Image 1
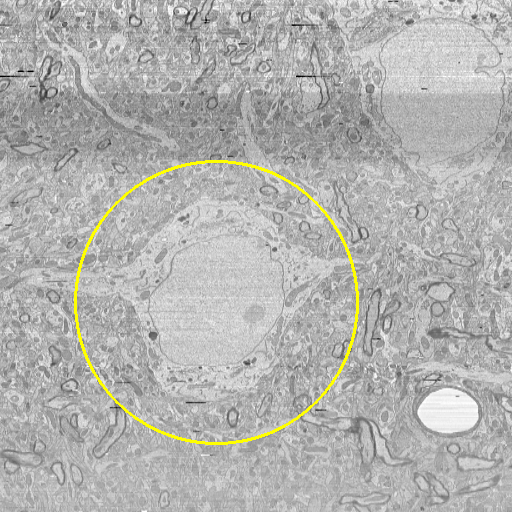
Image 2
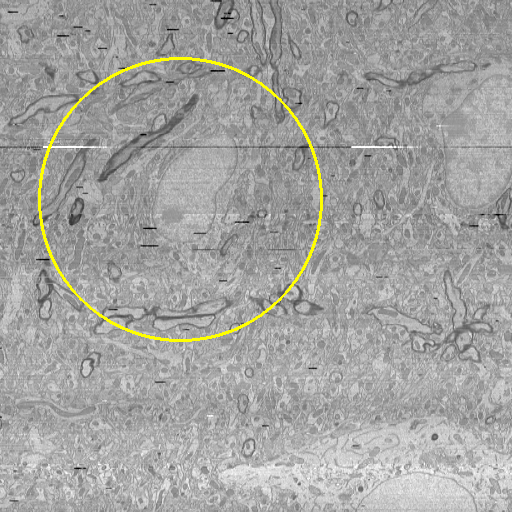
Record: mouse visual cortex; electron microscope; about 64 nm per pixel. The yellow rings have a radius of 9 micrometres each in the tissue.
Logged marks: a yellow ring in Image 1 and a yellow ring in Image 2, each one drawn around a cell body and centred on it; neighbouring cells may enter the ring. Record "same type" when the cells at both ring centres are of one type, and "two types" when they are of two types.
two types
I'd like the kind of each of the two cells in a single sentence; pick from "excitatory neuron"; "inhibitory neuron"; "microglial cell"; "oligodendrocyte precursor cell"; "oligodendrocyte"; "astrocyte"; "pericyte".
The first ring marks an excitatory neuron, and the second ring marks an astrocyte.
